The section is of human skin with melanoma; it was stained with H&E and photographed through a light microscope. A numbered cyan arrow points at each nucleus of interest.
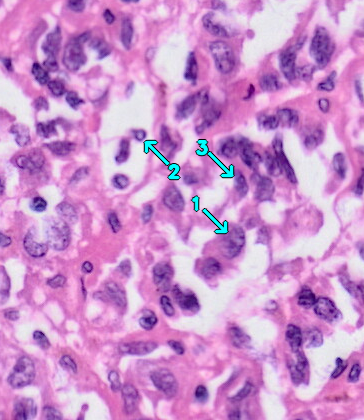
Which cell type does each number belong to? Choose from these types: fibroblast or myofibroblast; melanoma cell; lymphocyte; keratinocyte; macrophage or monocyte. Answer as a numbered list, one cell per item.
1. melanoma cell
2. lymphocyte
3. melanoma cell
